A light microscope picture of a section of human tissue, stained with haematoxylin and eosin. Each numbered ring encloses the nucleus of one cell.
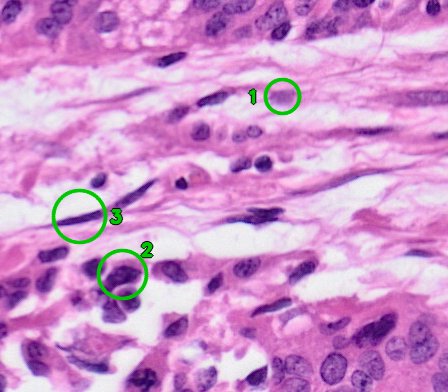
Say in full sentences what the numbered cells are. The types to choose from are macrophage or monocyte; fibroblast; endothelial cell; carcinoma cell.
Cell 1 is a fibroblast, cell 2 is a carcinoma cell and cell 3 is a fibroblast.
